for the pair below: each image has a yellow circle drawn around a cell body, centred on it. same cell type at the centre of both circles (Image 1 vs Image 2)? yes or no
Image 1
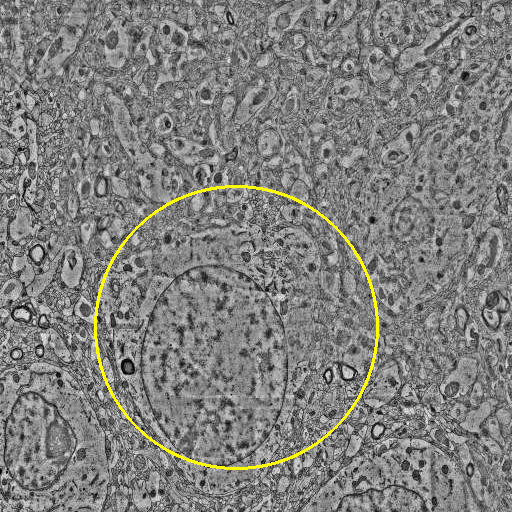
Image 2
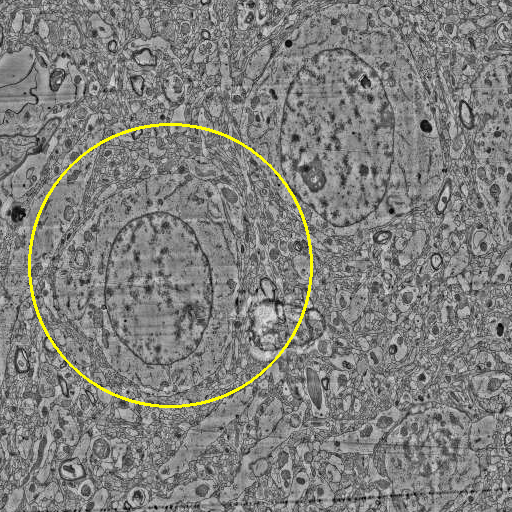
yes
